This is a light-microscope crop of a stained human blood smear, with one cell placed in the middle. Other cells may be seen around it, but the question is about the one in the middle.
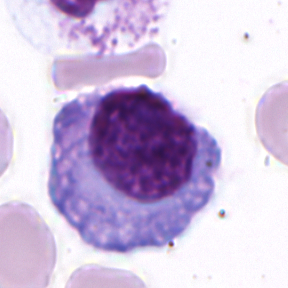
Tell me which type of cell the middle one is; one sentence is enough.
The cell in the exact centre of the crop is a plasma cell.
